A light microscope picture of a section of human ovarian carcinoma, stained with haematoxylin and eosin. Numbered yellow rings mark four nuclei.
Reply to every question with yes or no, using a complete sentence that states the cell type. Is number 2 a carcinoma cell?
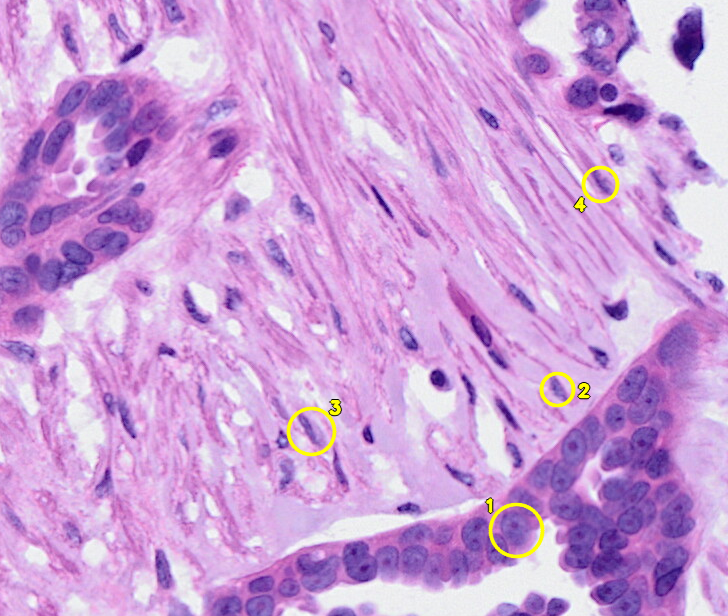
No, that is wrong: cell 2 is a fibroblast, and not a carcinoma cell.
